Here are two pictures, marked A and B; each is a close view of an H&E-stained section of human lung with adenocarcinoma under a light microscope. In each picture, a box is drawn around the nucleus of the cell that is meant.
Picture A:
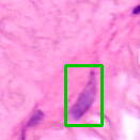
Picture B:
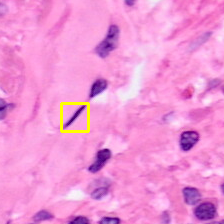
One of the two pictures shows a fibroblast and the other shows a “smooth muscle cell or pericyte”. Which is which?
A: smooth muscle cell or pericyte
B: fibroblast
